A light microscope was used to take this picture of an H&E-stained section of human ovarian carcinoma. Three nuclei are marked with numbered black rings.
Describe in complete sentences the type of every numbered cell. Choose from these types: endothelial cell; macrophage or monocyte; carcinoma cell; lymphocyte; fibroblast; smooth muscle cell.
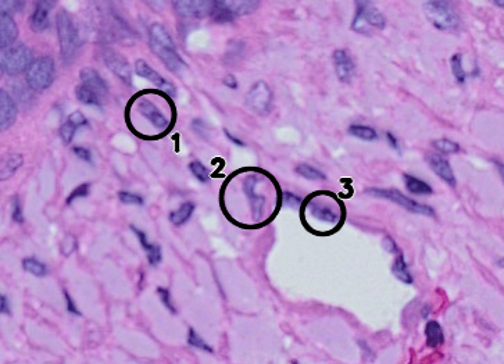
Cell 1 is a fibroblast, cell 2 is a fibroblast and cell 3 is an endothelial cell.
